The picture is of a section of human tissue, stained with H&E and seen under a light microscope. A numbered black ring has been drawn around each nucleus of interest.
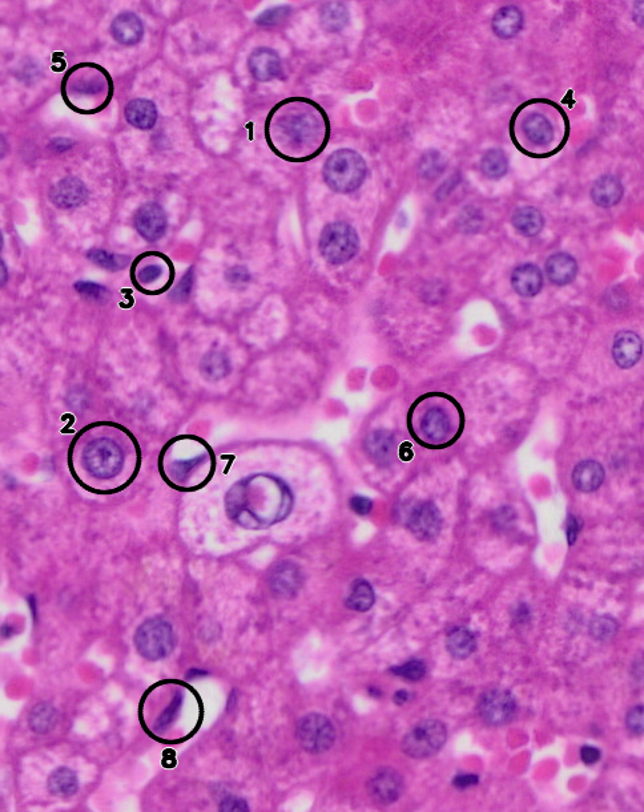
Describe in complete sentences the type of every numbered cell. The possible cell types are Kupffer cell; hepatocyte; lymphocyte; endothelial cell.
Cell 1 is a hepatocyte, cell 2 is a hepatocyte, cell 3 is a lymphocyte, cell 4 is a hepatocyte, cell 5 is an endothelial cell, cell 6 is a hepatocyte, cell 7 is an endothelial cell and cell 8 is a Kupffer cell.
